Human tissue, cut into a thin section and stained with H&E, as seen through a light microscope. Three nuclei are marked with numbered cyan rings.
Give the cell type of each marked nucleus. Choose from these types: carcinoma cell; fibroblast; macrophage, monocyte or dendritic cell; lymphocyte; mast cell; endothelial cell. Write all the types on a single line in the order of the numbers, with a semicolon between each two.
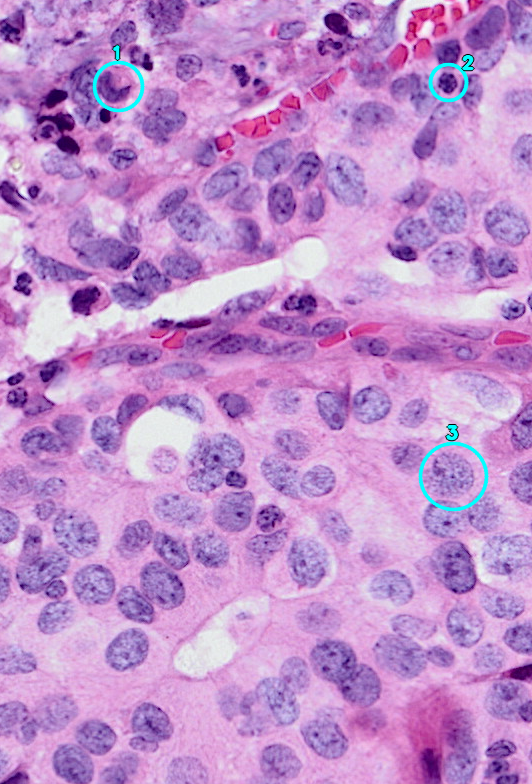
carcinoma cell; lymphocyte; carcinoma cell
